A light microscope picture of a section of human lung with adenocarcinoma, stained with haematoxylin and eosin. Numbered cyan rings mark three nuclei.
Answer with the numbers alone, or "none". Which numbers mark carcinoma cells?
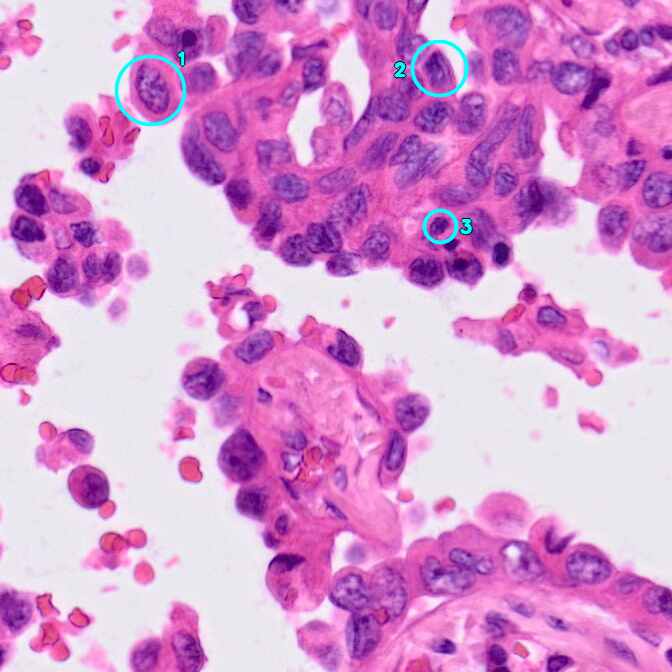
1, 2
